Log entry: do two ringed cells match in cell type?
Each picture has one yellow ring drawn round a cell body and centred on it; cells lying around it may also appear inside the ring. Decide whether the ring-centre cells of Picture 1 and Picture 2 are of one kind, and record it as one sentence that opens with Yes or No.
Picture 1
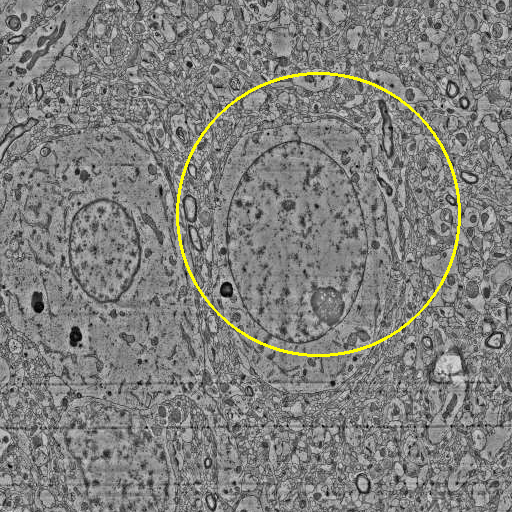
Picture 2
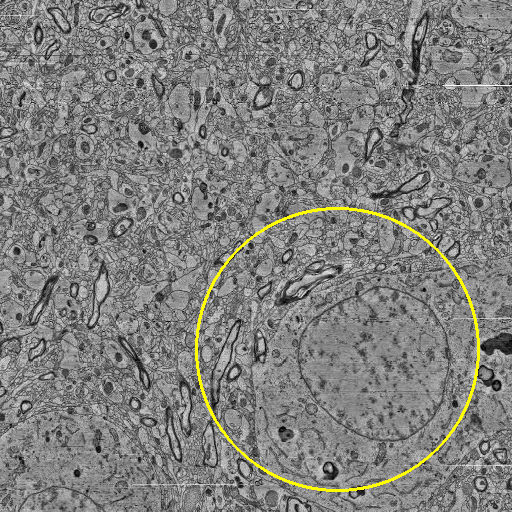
Yes, the cells at the ring centres of the two pictures belong to one kind.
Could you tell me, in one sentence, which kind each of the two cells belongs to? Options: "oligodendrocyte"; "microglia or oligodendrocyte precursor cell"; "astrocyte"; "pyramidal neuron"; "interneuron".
Each cell at the centre of a ring is a pyramidal neuron.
